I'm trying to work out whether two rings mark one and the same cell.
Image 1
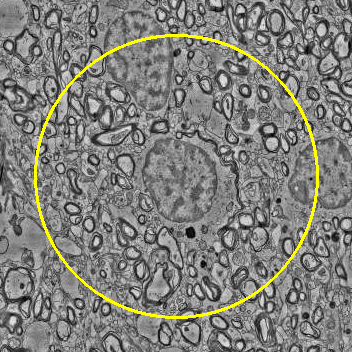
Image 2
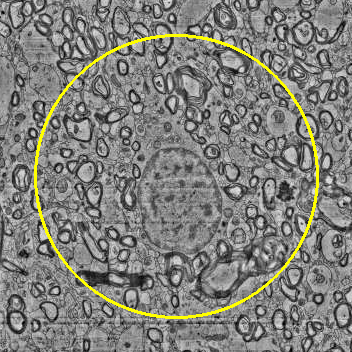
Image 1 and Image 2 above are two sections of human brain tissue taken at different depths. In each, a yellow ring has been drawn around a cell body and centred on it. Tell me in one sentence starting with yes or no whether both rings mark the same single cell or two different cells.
No, the two rings refer to two distinct cells.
